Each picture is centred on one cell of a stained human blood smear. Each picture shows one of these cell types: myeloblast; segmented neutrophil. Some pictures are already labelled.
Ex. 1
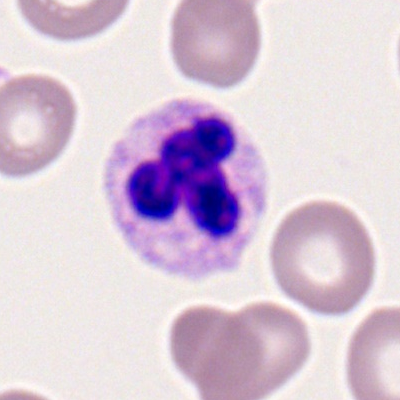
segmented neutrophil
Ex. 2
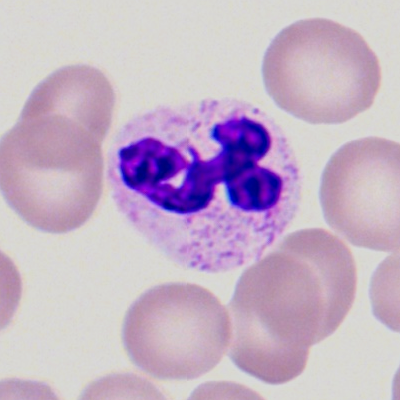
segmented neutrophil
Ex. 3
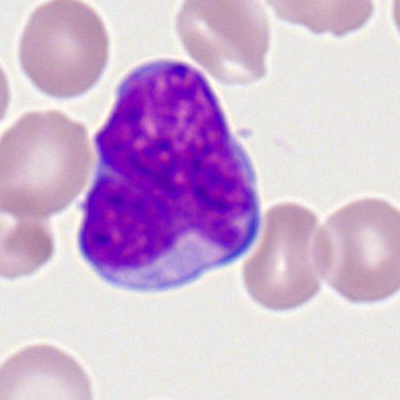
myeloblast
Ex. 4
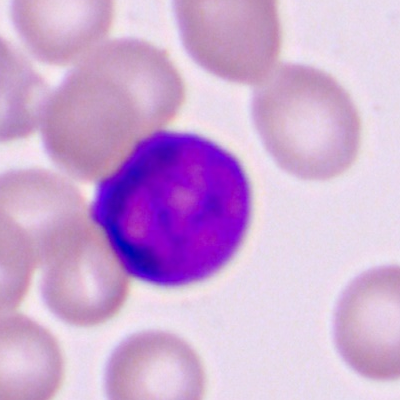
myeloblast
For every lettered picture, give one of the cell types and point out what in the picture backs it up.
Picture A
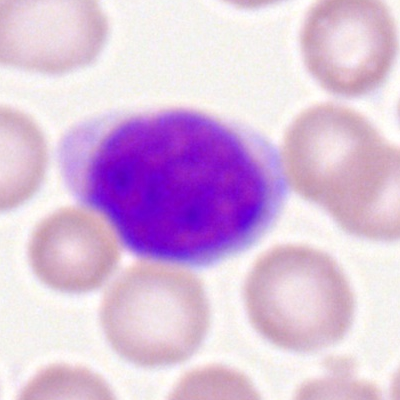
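Label: myeloblast. The nucleus fills most of the cell.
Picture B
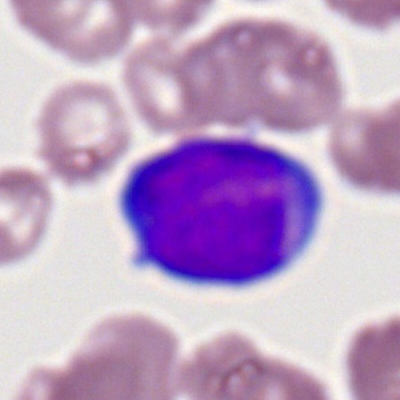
Label: myeloblast. The cytoplasm is a scant thin rim of deep blue.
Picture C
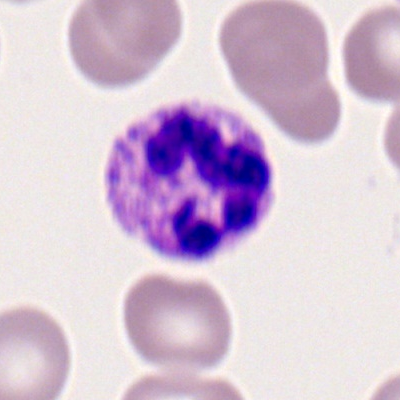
Label: segmented neutrophil. Pink-violet granules are scattered throughout the cytoplasm.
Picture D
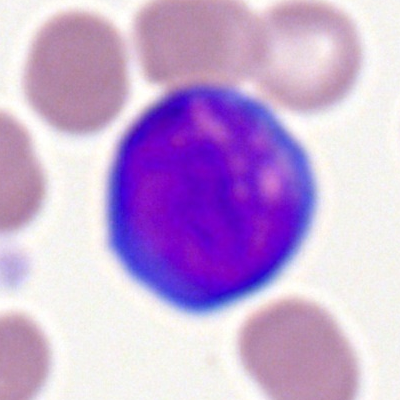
Label: myeloblast. The cytoplasm is a deep blue.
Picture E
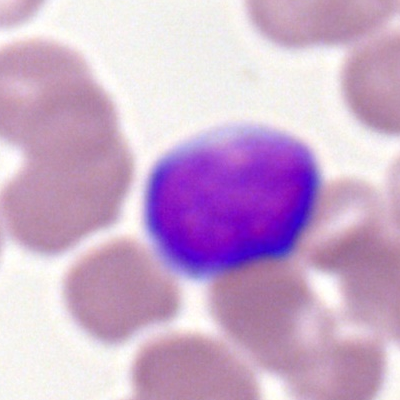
Label: myeloblast. The thin rim of cytoplasm is blue.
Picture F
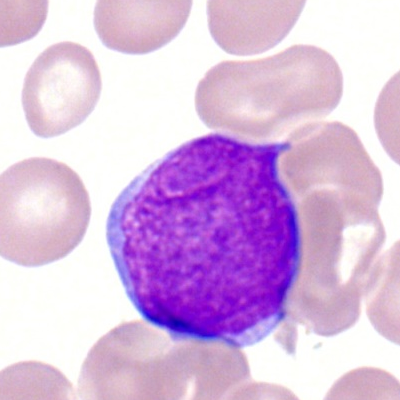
Label: myeloblast. The nucleus fills most of the cell.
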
